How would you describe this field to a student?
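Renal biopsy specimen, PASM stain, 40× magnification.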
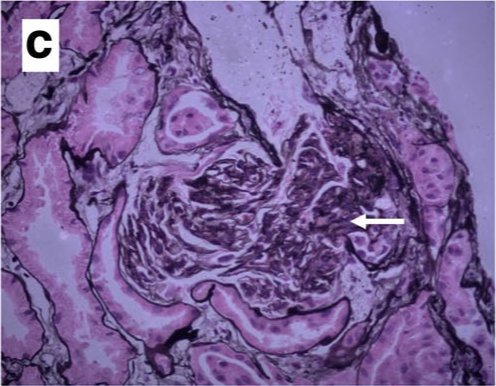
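Part of the tuft is consolidated into dark, dense, scarred material in which capillary lumens can no longer be made out. The remaining tuft still shows some looped outlines. Tubules with pink-purple epithelium and black-outlined basement membranes surround the glomerulus.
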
